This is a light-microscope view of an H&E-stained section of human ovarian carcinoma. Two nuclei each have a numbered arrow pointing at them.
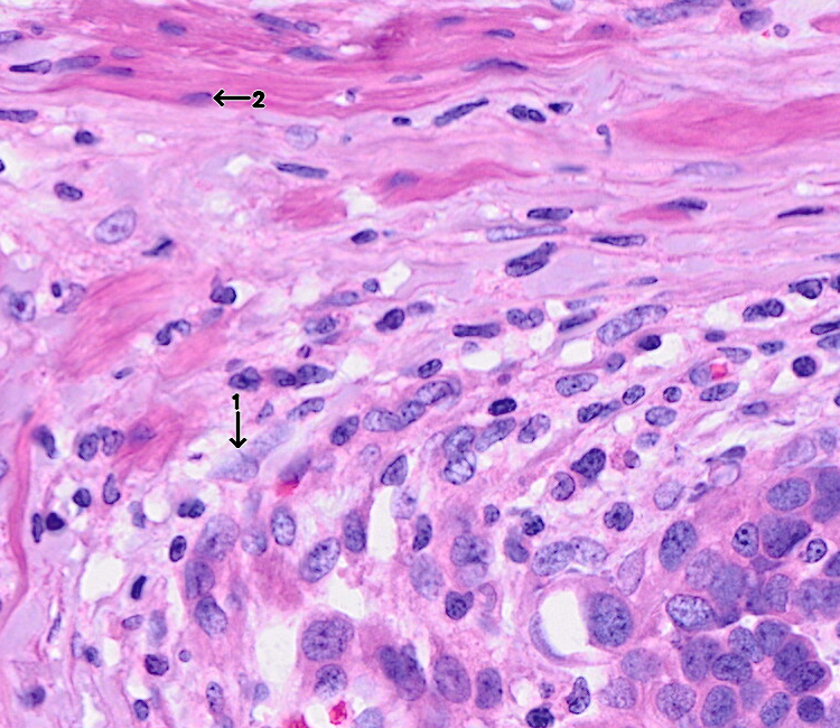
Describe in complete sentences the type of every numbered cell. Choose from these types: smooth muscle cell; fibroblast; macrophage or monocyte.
Cell 1 is a fibroblast and cell 2 is a smooth muscle cell.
